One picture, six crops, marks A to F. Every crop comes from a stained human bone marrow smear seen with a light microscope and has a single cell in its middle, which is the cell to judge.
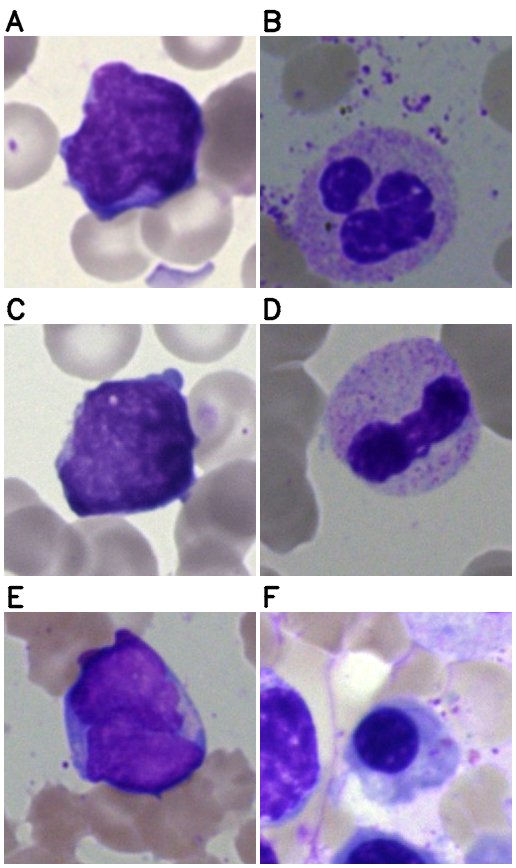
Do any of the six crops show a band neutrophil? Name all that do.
D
